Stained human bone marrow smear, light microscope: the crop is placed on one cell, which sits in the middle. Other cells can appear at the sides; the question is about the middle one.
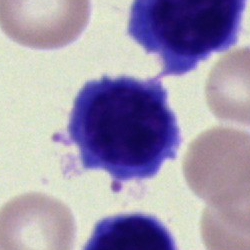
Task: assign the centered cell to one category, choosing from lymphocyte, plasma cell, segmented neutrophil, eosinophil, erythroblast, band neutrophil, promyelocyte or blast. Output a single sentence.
Whatever else lies nearby, the middle cell is an erythroblast.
